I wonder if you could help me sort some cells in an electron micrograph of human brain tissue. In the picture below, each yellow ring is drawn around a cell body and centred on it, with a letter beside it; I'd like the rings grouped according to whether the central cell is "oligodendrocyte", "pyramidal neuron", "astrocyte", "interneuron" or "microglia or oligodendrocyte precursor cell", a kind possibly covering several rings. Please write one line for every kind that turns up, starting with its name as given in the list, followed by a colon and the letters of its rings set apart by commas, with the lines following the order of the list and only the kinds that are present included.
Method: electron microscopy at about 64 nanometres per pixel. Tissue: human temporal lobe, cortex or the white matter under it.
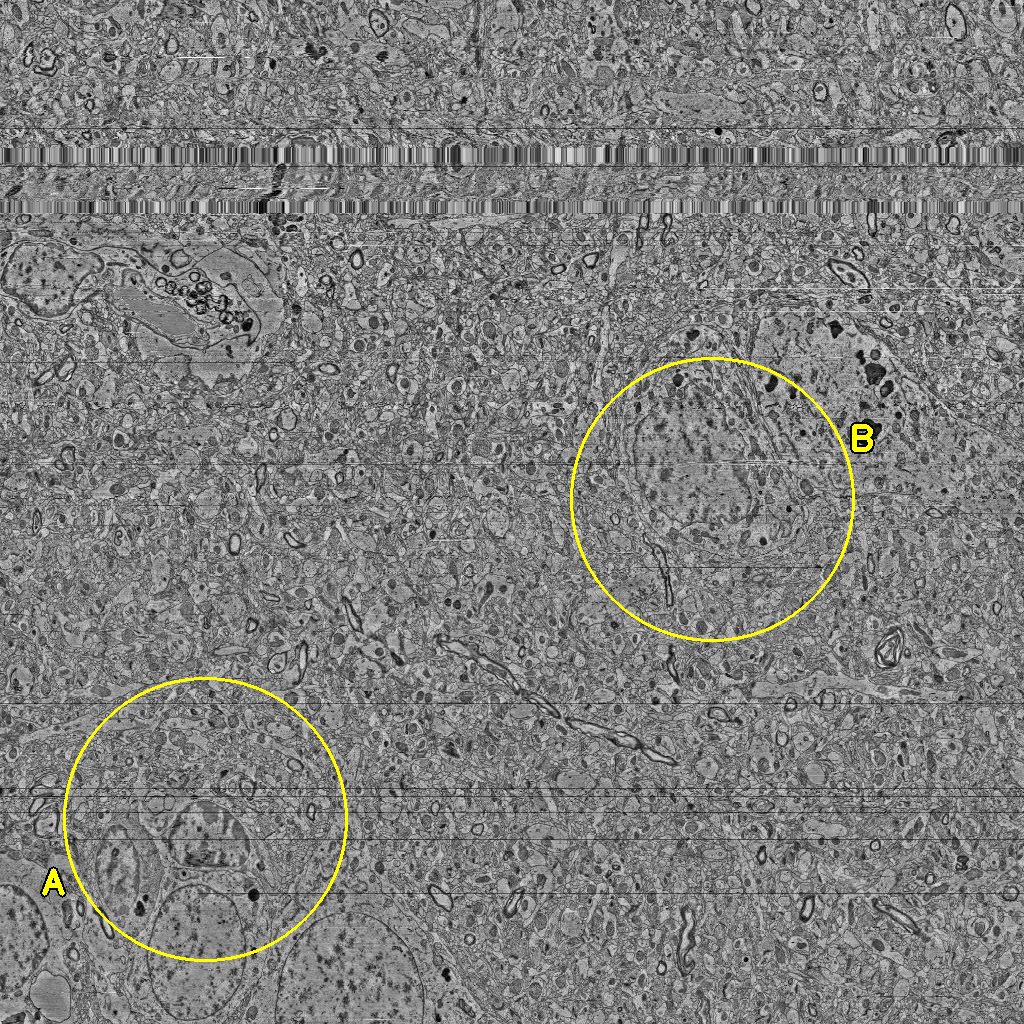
interneuron: B
microglia or oligodendrocyte precursor cell: A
